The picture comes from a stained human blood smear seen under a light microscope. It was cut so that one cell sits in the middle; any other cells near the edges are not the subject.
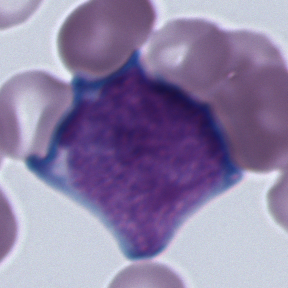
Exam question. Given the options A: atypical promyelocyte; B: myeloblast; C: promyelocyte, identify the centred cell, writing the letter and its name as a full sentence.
The cell at the heart of the crop is a myeloblast, so choose option B.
